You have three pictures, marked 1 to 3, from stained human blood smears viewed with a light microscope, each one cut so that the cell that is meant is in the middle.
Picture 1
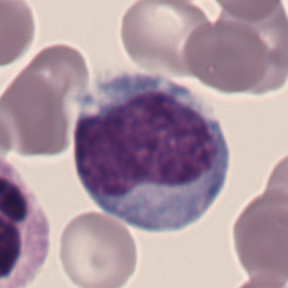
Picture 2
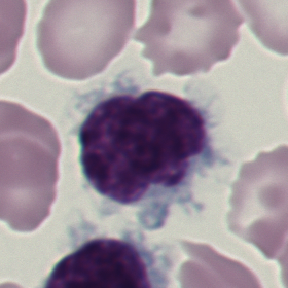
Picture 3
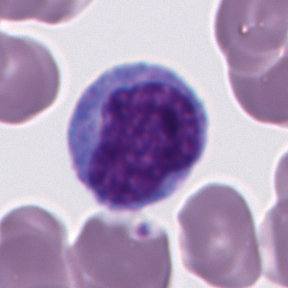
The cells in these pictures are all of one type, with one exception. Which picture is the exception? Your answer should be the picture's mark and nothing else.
2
